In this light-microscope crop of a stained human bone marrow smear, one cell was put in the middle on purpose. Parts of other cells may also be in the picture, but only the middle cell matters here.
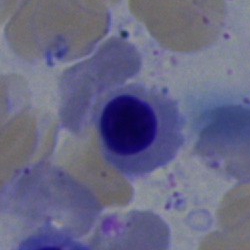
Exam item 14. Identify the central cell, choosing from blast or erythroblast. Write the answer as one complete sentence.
Present in the middle of the crop is an erythroblast.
